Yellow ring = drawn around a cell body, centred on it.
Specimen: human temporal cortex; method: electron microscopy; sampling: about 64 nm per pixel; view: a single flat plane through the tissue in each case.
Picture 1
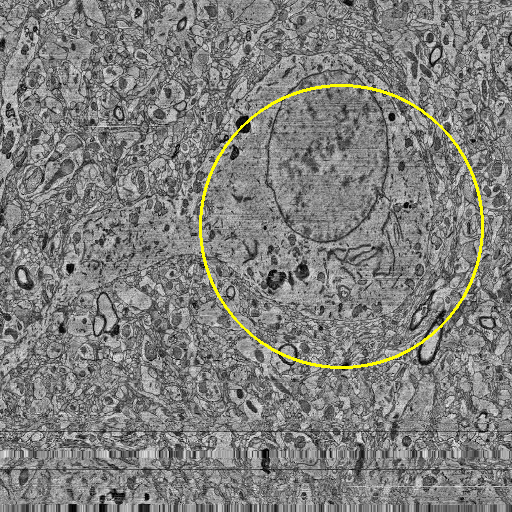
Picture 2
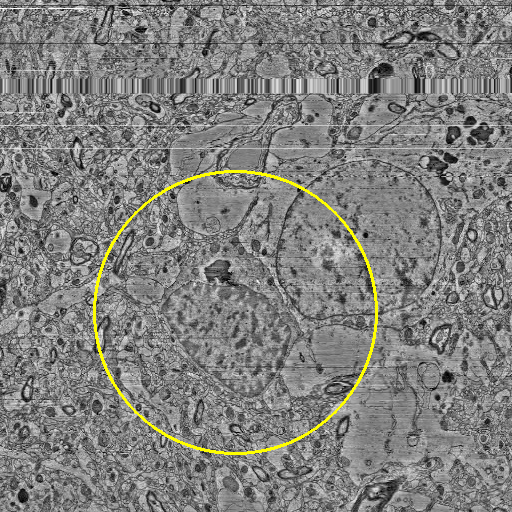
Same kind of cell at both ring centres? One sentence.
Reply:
No, they are two kinds of cell.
